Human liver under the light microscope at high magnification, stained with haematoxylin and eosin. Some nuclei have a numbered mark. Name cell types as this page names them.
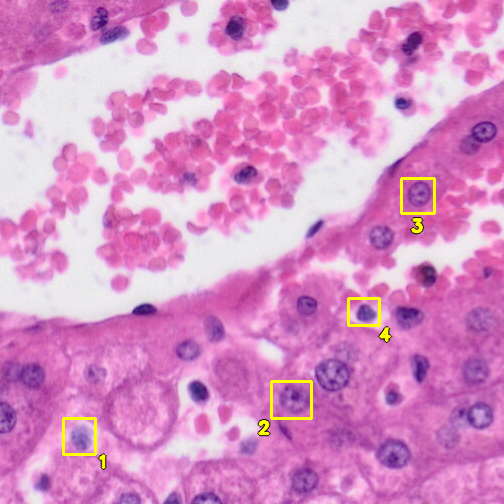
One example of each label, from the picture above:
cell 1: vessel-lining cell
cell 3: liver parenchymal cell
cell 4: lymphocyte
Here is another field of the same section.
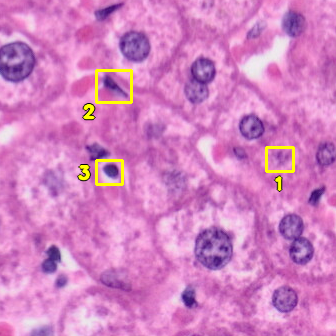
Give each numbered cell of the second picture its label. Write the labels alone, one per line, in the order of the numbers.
liver parenchymal cell
vessel-lining cell
lymphocyte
